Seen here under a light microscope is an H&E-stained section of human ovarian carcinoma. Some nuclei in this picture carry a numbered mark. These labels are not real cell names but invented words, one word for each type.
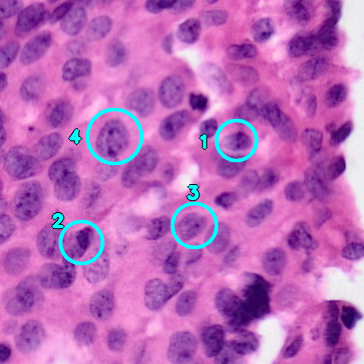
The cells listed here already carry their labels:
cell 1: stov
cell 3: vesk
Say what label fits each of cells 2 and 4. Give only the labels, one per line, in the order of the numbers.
vesk
vesk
